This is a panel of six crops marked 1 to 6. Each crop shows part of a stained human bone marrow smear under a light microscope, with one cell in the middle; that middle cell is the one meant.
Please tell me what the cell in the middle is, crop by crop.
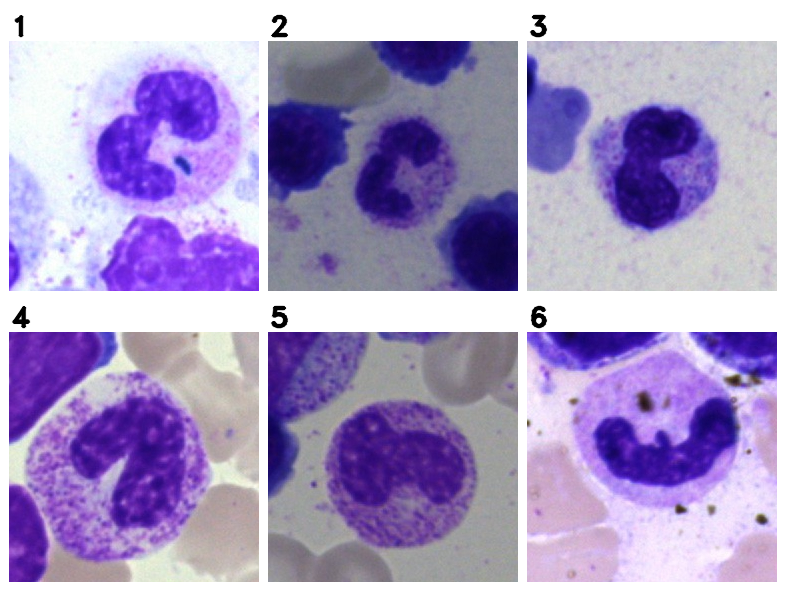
1: segmented neutrophil
2: segmented neutrophil
3: band neutrophil
4: band neutrophil
5: band neutrophil
6: band neutrophil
